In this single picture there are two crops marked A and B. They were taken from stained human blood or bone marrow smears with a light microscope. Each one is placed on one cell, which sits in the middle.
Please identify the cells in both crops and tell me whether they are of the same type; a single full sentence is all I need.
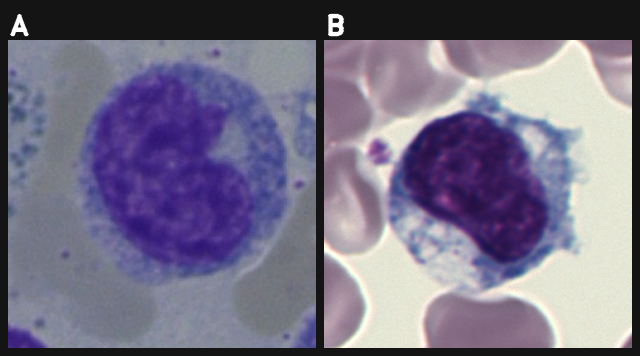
Yes, both crops show monocytes, to put it briefly.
